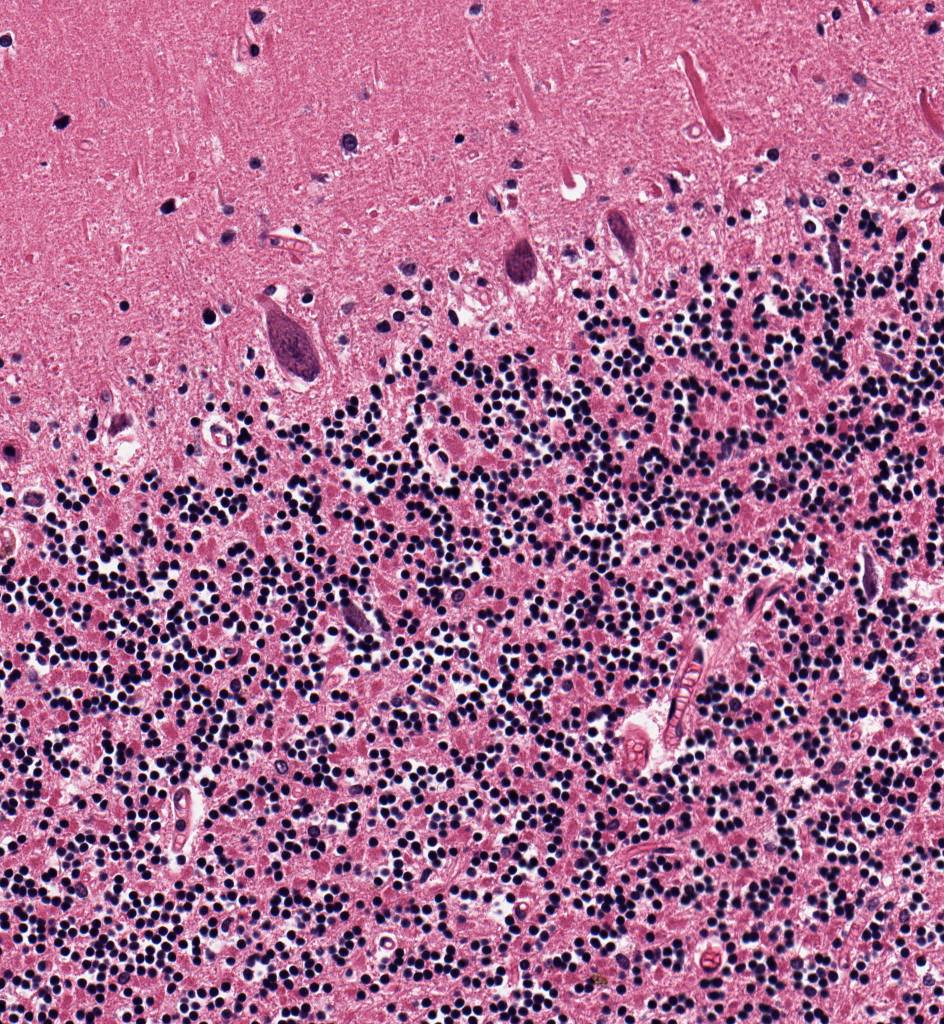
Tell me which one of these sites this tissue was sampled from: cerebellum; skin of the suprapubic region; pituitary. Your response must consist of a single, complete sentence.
The sample of tissue came from the cerebellum.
